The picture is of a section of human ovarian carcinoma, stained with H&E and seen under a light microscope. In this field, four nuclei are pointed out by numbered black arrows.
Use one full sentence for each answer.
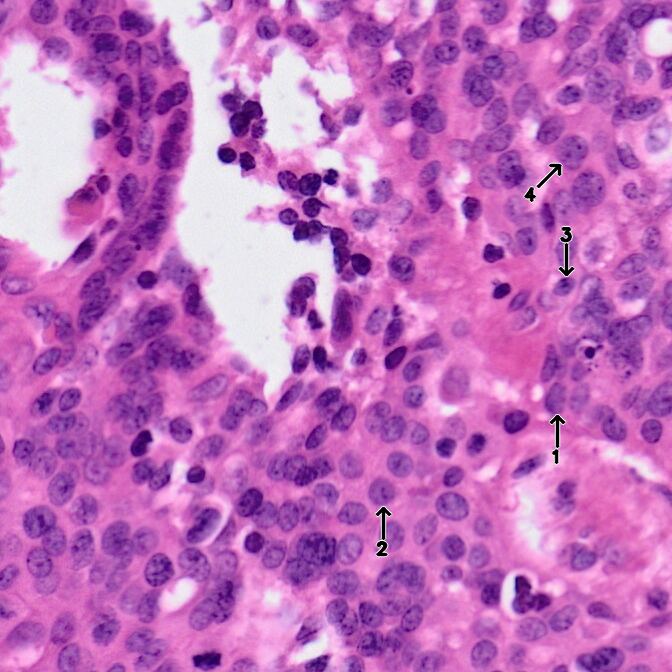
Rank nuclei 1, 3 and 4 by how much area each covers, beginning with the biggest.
Going from the biggest nucleus down to the smallest gives 4, 1, 3.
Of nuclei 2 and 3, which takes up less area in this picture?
Number 3 is smaller, since number 2 takes up about 2 times as much area.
